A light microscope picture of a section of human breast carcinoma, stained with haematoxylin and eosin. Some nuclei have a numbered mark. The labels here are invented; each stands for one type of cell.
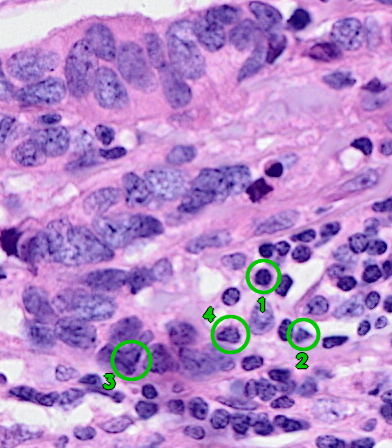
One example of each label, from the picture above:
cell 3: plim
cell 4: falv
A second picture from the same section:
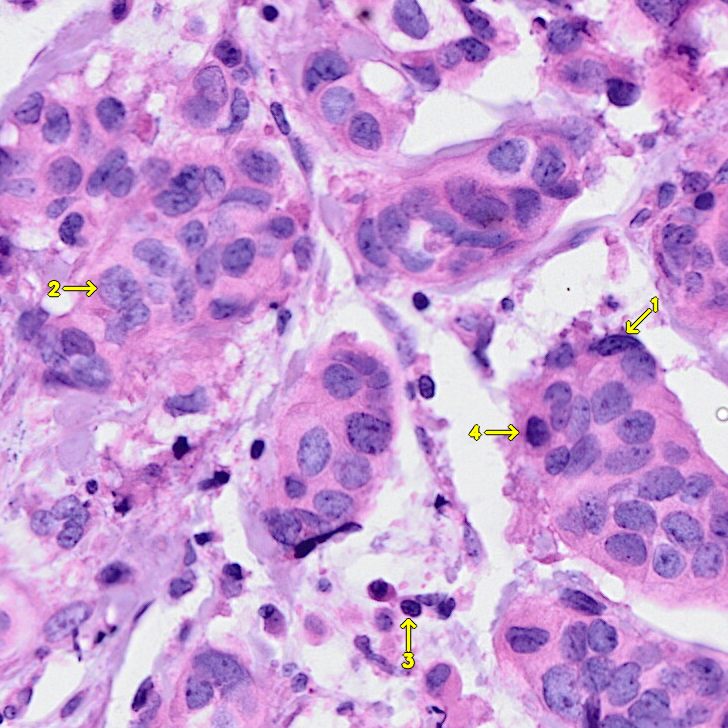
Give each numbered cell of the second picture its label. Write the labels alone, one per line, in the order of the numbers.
plim
plim
falv
plim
